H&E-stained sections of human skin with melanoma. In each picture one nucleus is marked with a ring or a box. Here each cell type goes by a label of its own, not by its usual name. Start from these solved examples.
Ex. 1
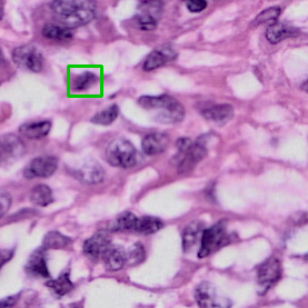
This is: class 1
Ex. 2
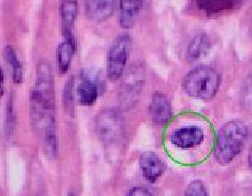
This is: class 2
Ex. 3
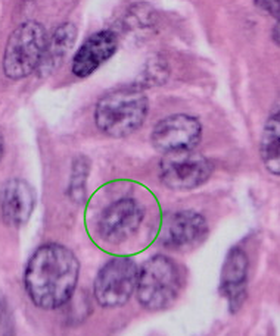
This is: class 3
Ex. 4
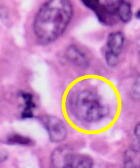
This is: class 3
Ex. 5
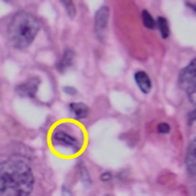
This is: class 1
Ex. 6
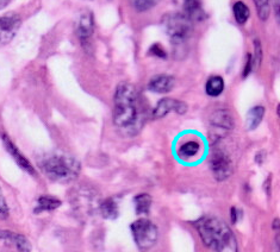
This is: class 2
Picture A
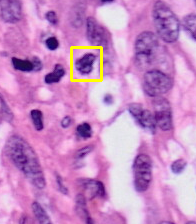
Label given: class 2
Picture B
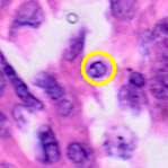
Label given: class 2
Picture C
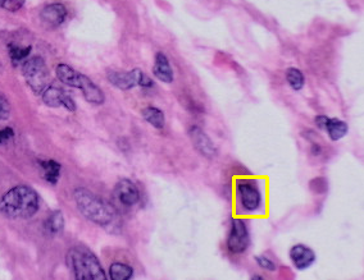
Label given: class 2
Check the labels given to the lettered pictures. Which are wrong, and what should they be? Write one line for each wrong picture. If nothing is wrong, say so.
C: not class 2 but class 1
